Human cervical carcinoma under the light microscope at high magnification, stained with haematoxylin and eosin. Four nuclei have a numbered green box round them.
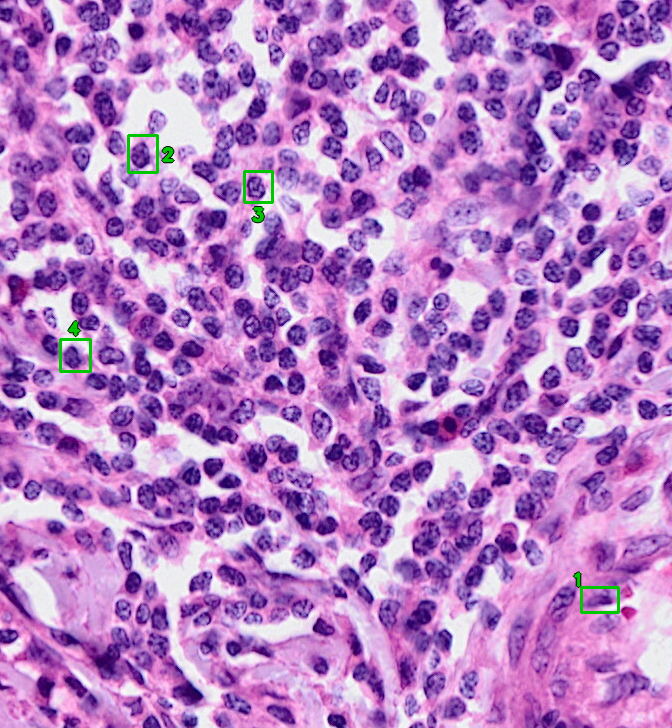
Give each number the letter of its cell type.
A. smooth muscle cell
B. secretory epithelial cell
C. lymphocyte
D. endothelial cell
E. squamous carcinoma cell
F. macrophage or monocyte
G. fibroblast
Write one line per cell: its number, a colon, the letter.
1: D
2: C
3: C
4: C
